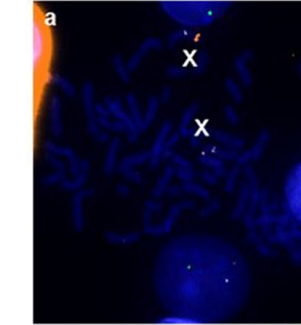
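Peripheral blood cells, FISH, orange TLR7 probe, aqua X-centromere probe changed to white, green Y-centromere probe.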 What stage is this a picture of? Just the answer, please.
Metaphase.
